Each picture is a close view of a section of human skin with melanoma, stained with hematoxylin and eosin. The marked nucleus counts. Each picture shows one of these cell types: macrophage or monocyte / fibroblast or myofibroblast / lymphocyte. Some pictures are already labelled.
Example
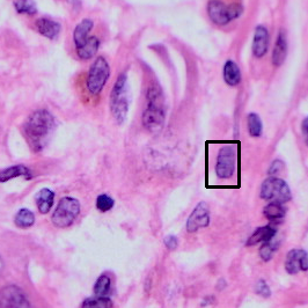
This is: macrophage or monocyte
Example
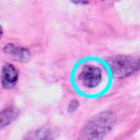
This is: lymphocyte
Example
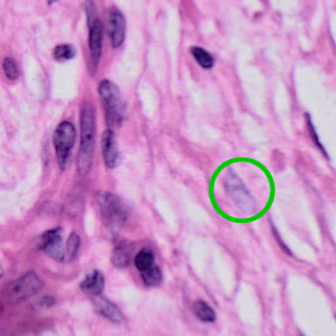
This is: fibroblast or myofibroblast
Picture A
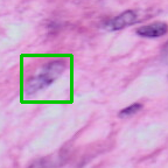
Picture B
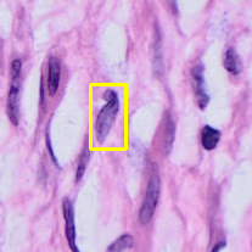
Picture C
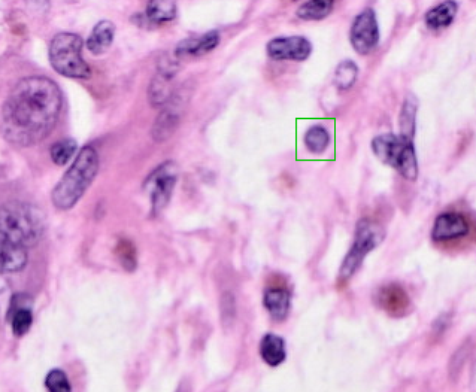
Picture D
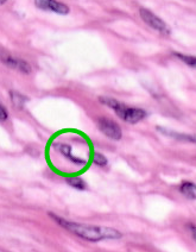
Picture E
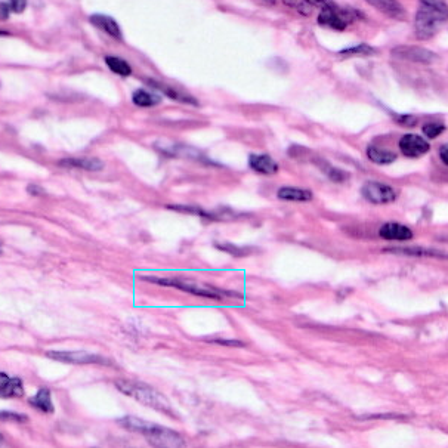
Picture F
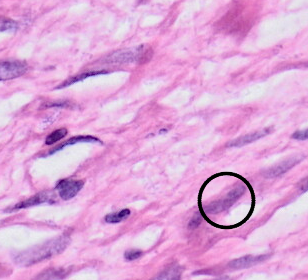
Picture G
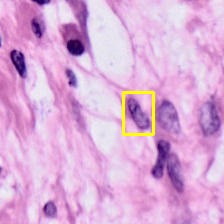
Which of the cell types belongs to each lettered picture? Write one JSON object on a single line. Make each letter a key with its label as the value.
{"A": "fibroblast or myofibroblast", "B": "macrophage or monocyte", "C": "lymphocyte", "D": "fibroblast or myofibroblast", "E": "fibroblast or myofibroblast", "F": "fibroblast or myofibroblast", "G": "macrophage or monocyte"}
